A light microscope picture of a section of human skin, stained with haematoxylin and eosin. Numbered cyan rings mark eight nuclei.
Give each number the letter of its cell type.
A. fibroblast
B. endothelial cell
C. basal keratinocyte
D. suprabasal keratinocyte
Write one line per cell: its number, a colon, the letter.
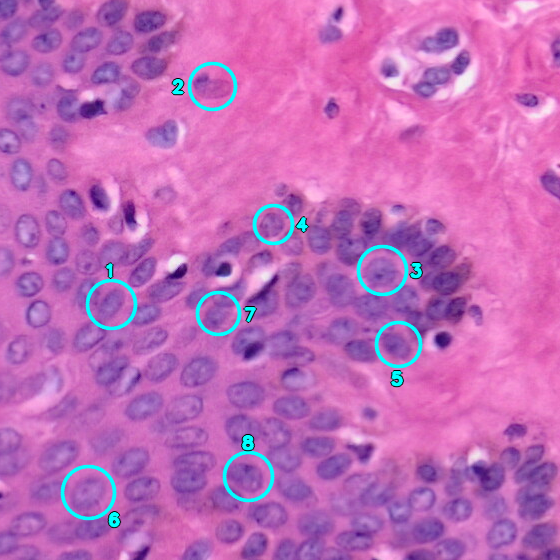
1: D
2: A
3: C
4: C
5: C
6: D
7: C
8: D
